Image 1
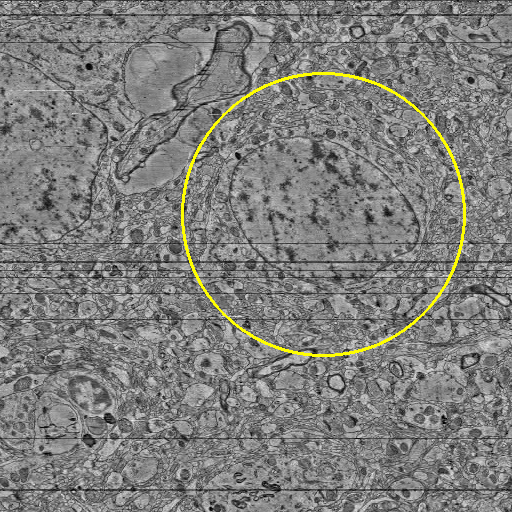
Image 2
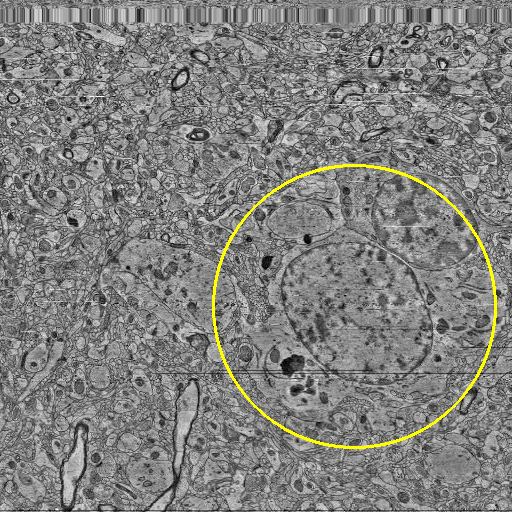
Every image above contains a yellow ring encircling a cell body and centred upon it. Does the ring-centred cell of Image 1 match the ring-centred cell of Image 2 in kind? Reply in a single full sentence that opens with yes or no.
No, the cell at the ring's centre in Image 1 is a separate kind from that in Image 2.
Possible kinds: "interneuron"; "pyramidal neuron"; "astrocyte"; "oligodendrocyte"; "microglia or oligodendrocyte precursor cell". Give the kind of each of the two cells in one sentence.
The cell in the second picture is an astrocyte, and that in the first is a pyramidal neuron.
